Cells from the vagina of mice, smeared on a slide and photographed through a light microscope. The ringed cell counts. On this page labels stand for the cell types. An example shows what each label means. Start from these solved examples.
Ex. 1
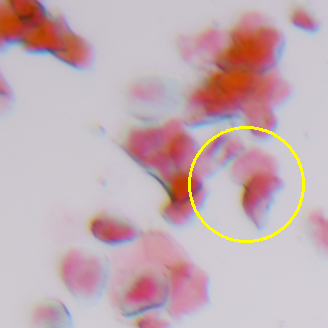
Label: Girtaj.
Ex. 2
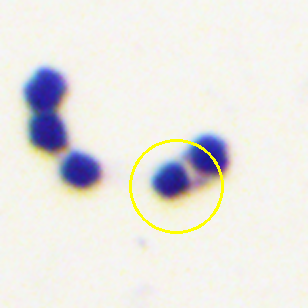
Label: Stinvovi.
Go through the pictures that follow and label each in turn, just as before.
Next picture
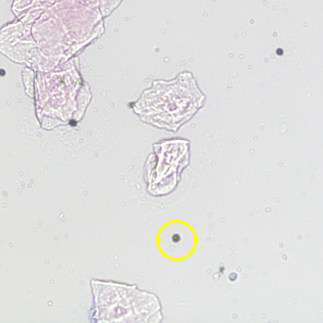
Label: Stinvovi.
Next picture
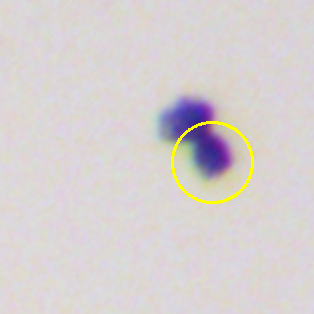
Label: Stinvovi.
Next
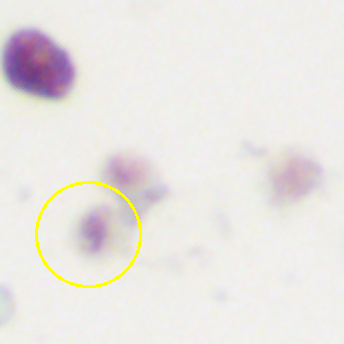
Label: Stinvovi.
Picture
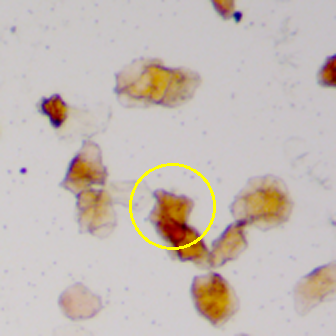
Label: Girtaj.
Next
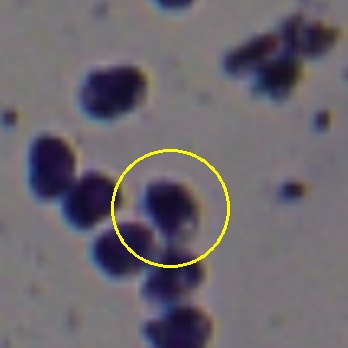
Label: Stinvovi.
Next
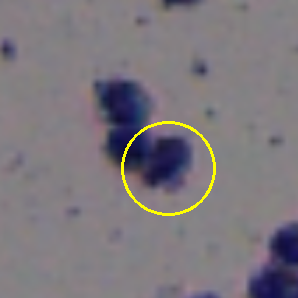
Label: Stinvovi.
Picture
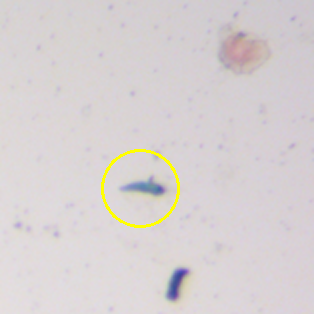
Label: Girtaj.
